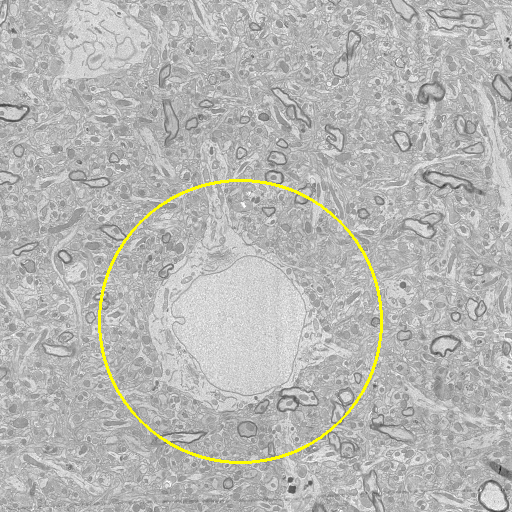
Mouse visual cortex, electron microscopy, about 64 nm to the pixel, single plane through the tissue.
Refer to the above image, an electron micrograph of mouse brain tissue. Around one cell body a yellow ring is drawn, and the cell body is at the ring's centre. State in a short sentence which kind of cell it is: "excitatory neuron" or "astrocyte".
The centre of the ring falls on an excitatory neuron.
